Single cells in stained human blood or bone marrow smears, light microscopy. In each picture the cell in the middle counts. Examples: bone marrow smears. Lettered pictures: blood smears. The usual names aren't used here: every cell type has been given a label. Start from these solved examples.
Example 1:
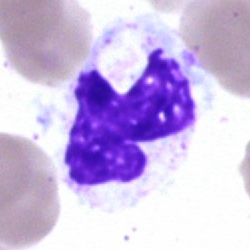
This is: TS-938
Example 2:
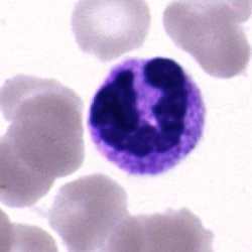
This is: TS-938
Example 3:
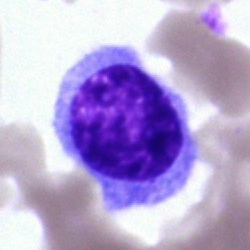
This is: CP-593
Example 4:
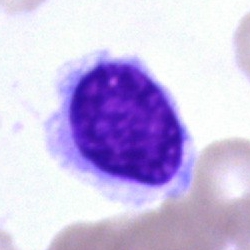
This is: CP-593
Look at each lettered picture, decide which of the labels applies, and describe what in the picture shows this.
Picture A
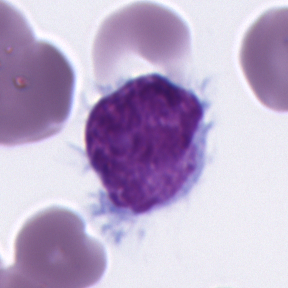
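CP-593. The cytoplasm forms only a scant rim around the nucleus.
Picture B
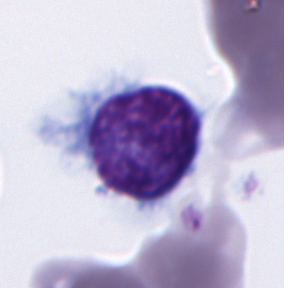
CP-593. The cytoplasm is scant around most of the nucleus and widest on the left.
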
